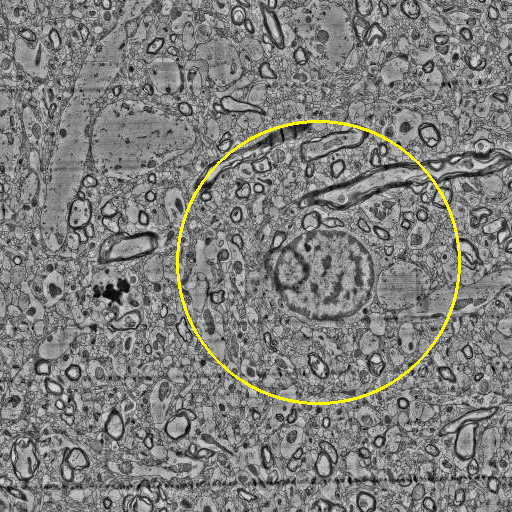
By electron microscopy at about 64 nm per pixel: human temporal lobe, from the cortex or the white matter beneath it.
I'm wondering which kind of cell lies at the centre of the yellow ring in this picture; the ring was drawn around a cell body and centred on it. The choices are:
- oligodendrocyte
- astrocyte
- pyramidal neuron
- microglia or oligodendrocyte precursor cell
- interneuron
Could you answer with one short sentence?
At the centre of the ring lies an oligodendrocyte.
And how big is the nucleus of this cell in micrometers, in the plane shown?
In this plane the nucleus is about 6 micrometres across.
